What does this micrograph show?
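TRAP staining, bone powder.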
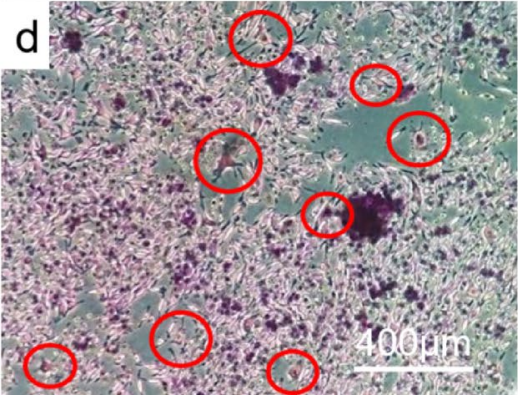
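A dense culture of mostly small spindle-shaped cells covers the field, with scattered dark purple clumps of material. Among them lie a few larger multinucleated osteoclast-like cells that stain a darker purple-red and spread short processes outward.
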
